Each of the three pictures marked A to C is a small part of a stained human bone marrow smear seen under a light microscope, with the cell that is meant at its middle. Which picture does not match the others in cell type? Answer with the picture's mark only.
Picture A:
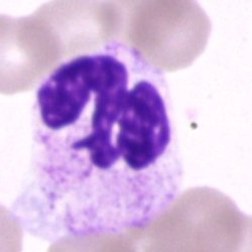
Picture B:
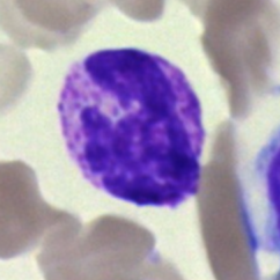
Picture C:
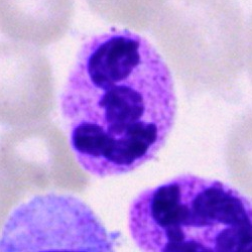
B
